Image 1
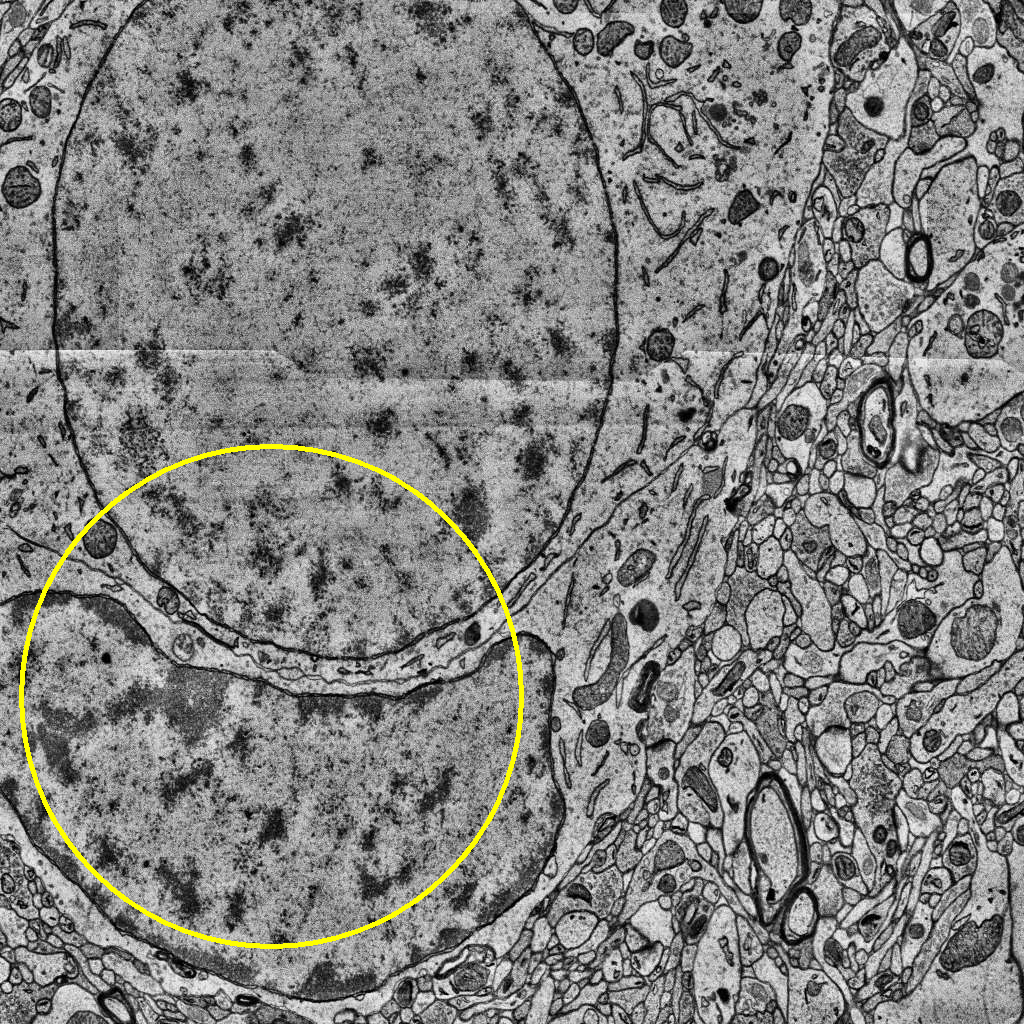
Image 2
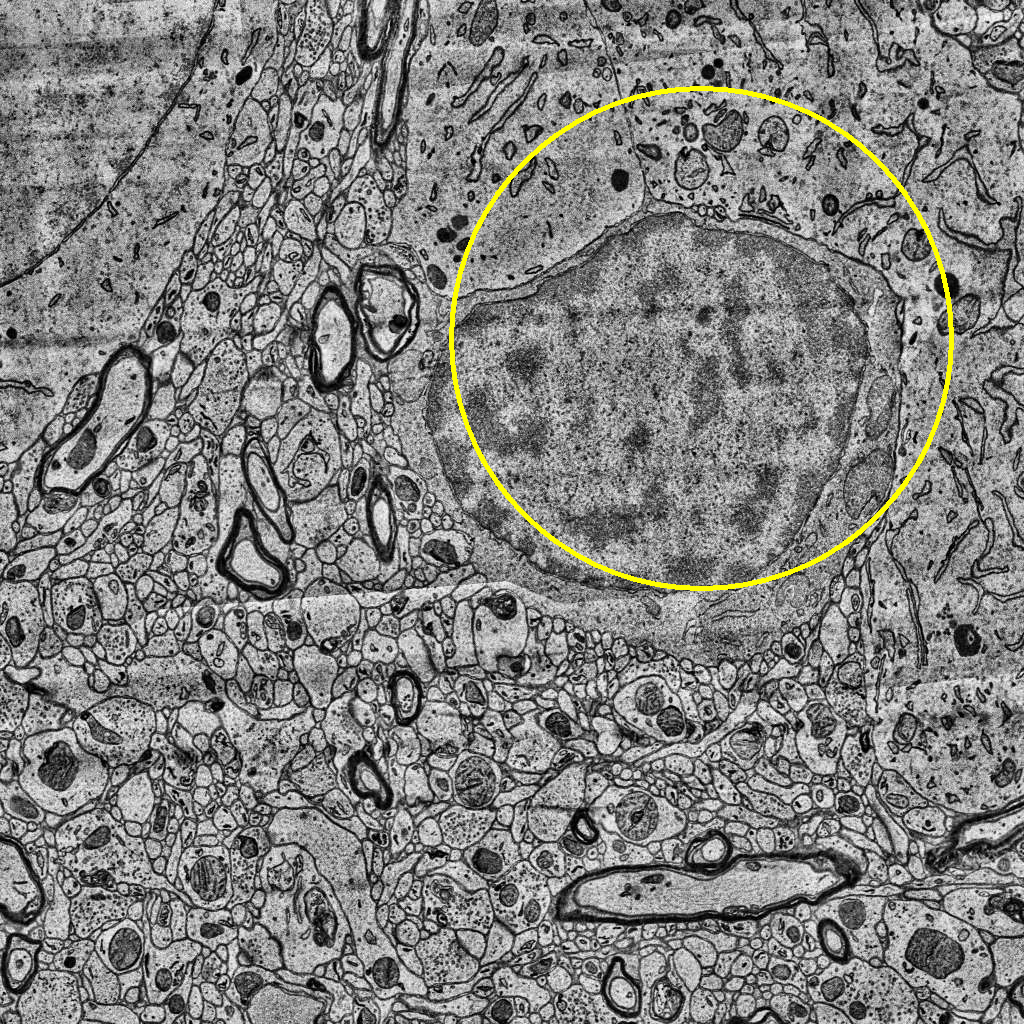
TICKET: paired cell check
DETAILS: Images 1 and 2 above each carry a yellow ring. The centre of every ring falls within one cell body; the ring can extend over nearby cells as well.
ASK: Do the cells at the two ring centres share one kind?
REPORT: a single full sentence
No, the cells at the ring centres of Images 1 and 2 belong to two kinds.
